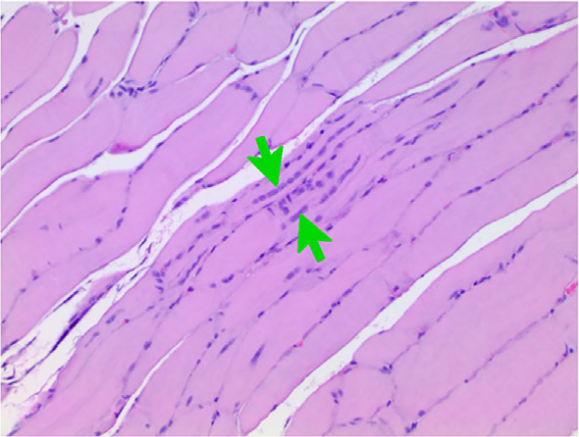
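Longitudinally cut skeletal muscle fibers lie in parallel, pink with flat, dark nuclei at their edges. One fiber in the centre carries a row of plump nuclei down its middle, a sign of muscle regeneration. The other fibers look intact.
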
